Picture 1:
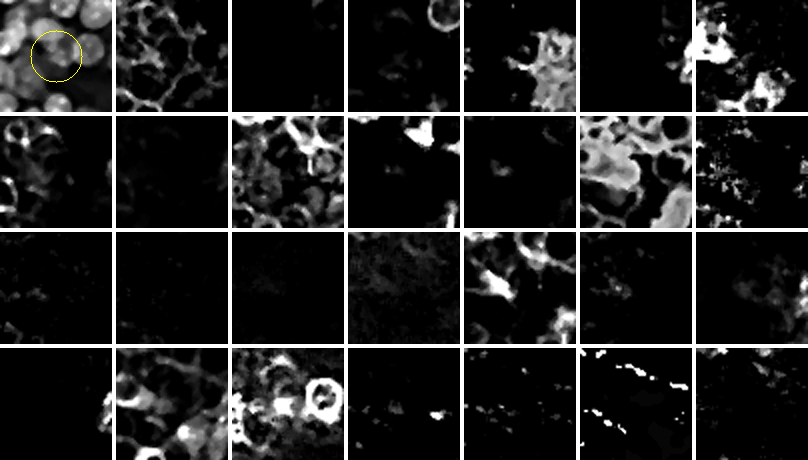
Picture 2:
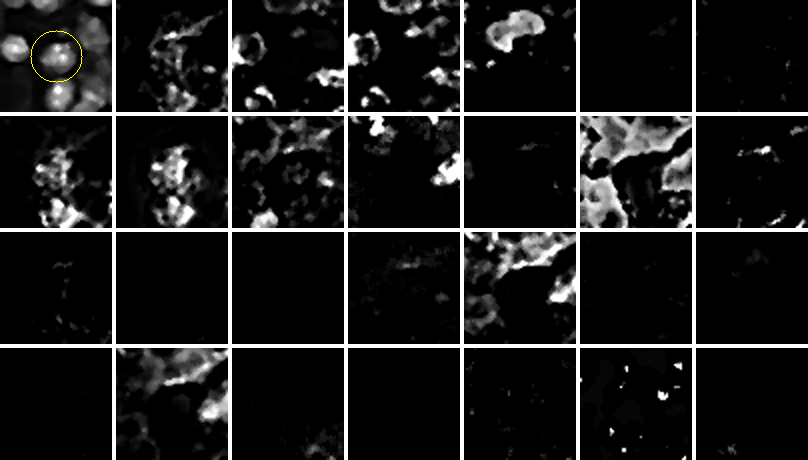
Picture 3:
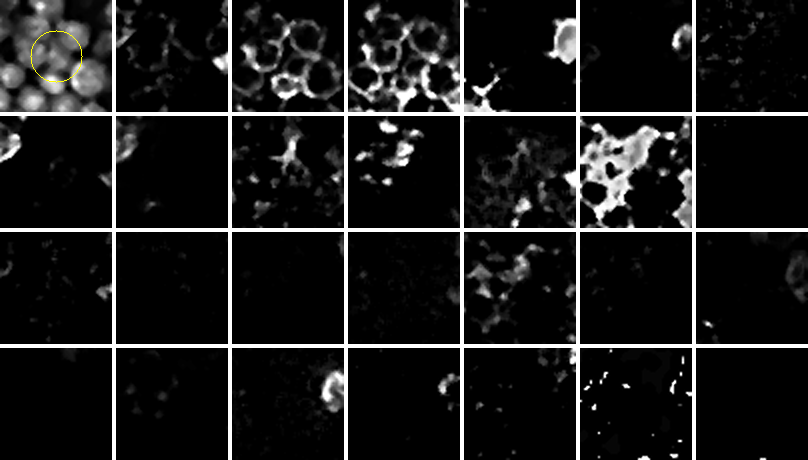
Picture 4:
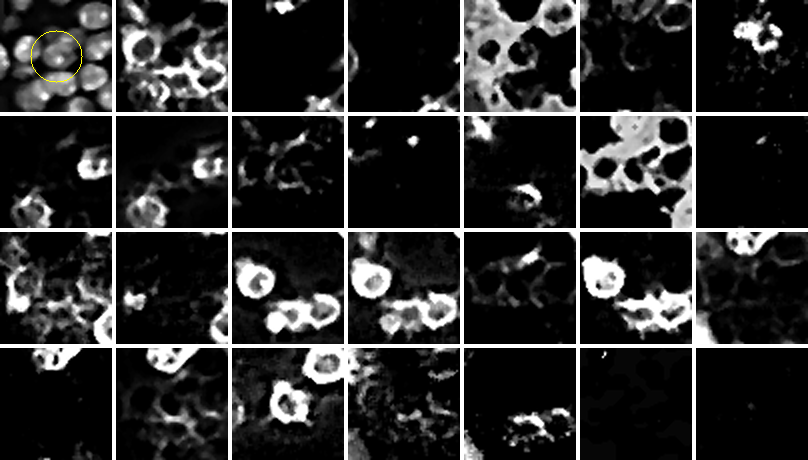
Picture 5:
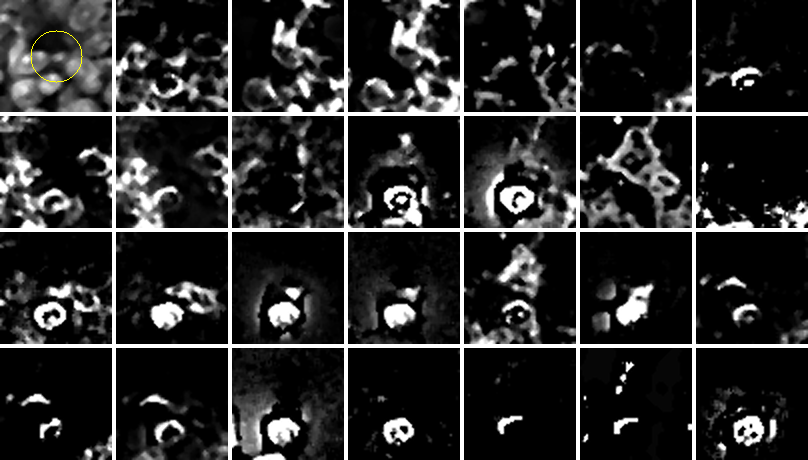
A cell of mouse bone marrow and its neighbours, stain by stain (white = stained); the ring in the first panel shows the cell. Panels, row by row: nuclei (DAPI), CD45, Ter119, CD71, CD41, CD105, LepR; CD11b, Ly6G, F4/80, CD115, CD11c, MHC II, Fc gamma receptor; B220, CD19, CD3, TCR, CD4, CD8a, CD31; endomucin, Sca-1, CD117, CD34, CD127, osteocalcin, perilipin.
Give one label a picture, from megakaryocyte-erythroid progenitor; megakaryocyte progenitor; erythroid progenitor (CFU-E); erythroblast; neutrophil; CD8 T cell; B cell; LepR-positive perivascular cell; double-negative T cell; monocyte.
1: megakaryocyte-erythroid progenitor
2: neutrophil
3: erythroblast
4: megakaryocyte progenitor
5: B cell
